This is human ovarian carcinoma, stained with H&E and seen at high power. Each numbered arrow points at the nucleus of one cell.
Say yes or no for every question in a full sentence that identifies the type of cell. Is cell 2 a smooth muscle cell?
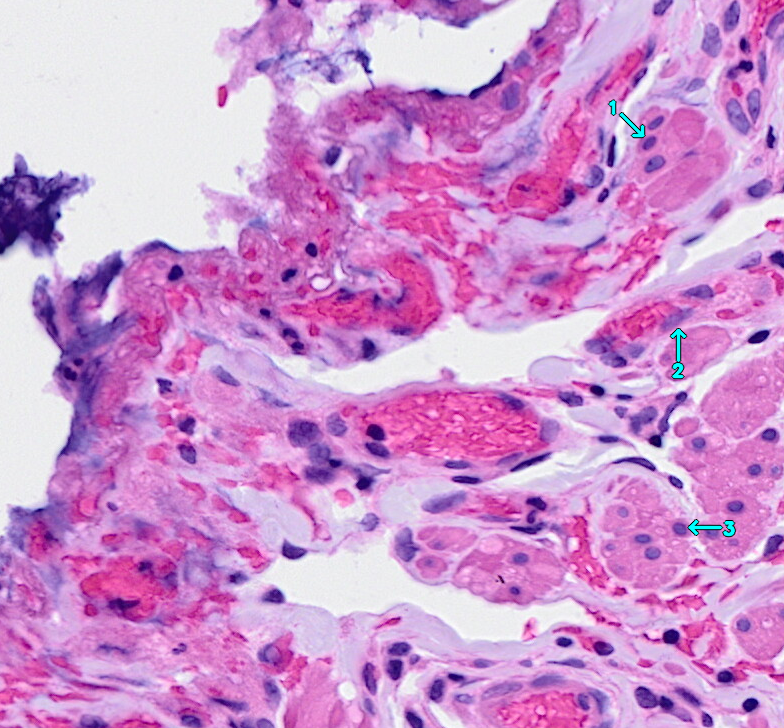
No, an endothelial cell, not a smooth muscle cell, is the cell with number 2.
